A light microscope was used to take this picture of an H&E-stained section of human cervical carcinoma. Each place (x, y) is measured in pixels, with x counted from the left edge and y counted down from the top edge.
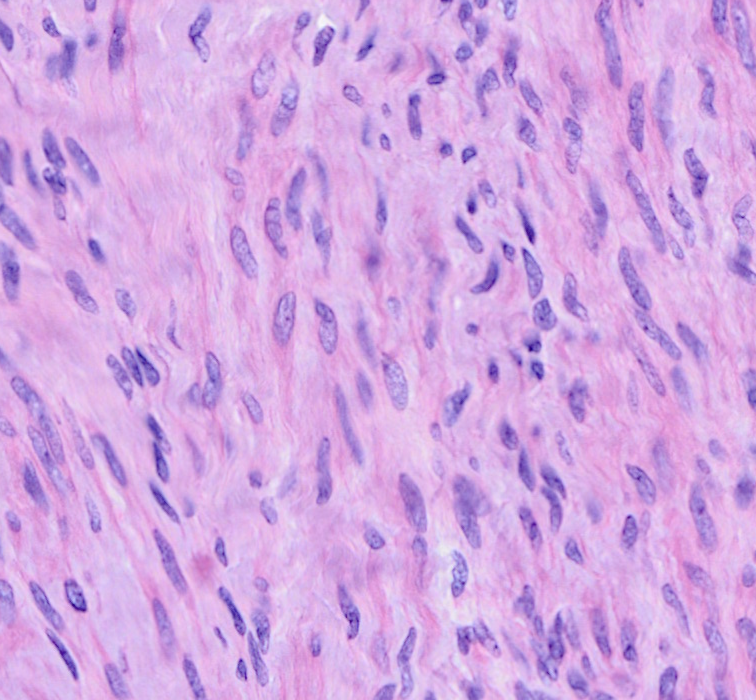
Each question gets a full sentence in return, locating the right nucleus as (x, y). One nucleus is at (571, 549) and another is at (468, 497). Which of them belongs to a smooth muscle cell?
Of the two nuclei, the one sitting at (571, 549) belongs to a smooth muscle cell.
